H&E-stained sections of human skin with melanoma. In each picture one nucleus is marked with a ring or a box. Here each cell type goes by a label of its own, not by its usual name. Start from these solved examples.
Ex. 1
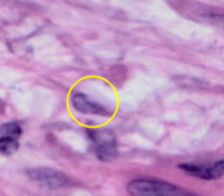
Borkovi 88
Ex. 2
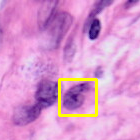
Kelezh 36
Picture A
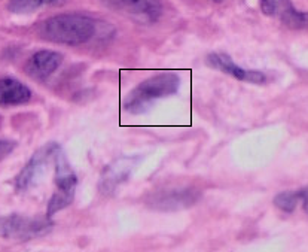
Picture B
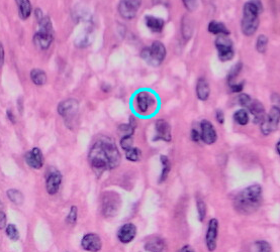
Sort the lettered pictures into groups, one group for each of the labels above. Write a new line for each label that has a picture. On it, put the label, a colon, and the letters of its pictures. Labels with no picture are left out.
Borkovi 88: A
Kelezh 36: B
